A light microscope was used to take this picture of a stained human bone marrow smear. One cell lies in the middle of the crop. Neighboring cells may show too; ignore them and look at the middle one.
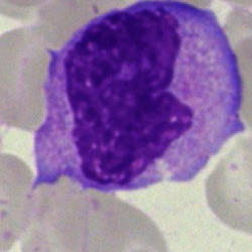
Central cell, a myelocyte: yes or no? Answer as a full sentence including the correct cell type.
No, the central cell isn't a myelocyte, but a monocyte.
